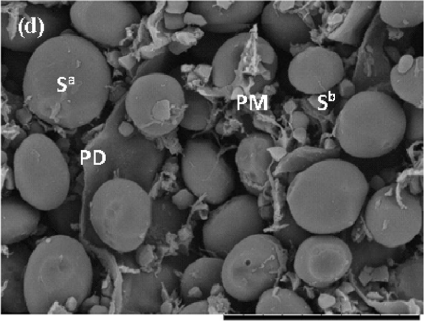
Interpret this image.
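This is a fractured cereal grain endosperm packed with starch granules embedded among protein material. Large smooth disc- to lens-shaped starch granules dominate, many seen face-on as round discs. Smaller granules occur between them, and thin sheets and flakes of protein material lie draped over and between the granules.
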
